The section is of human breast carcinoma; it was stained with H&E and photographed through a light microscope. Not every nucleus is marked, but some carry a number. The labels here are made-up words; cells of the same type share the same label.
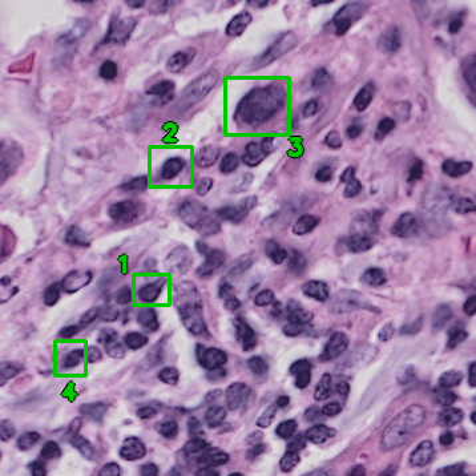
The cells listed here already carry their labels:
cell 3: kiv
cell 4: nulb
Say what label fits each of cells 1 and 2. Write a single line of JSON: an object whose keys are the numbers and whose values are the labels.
{"1": "nulb", "2": "nulb"}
